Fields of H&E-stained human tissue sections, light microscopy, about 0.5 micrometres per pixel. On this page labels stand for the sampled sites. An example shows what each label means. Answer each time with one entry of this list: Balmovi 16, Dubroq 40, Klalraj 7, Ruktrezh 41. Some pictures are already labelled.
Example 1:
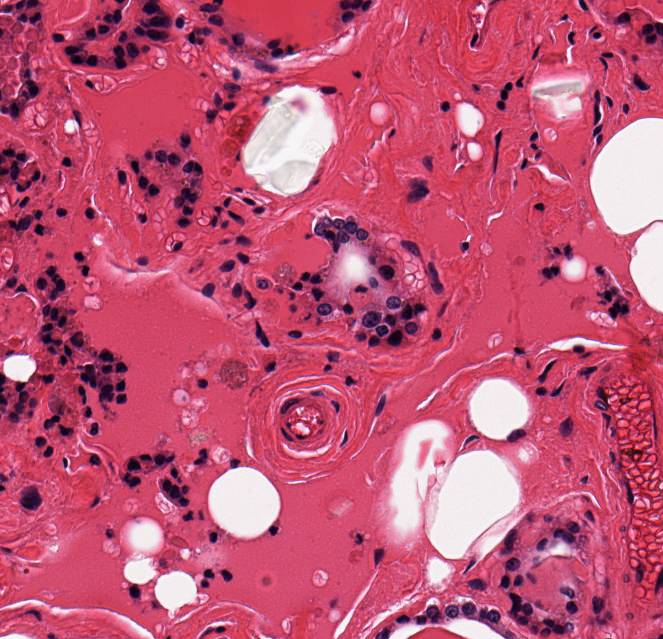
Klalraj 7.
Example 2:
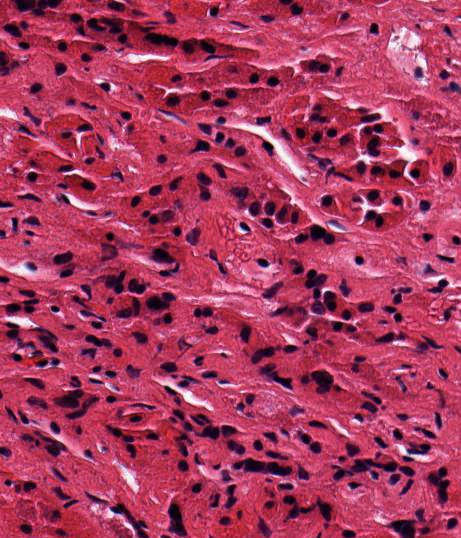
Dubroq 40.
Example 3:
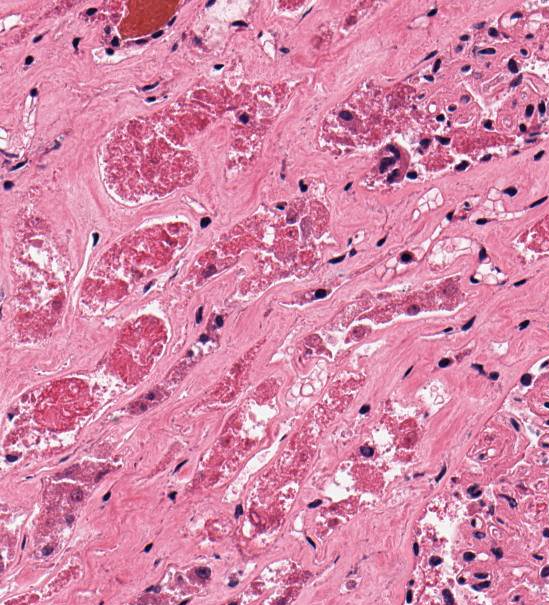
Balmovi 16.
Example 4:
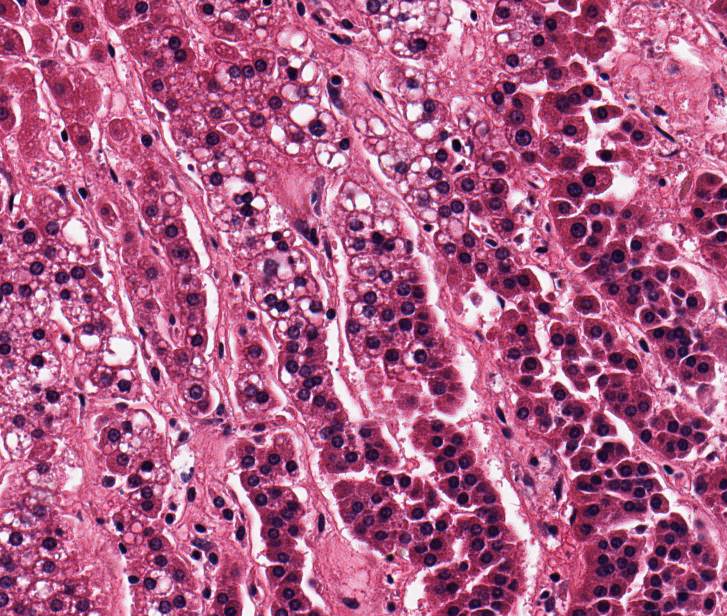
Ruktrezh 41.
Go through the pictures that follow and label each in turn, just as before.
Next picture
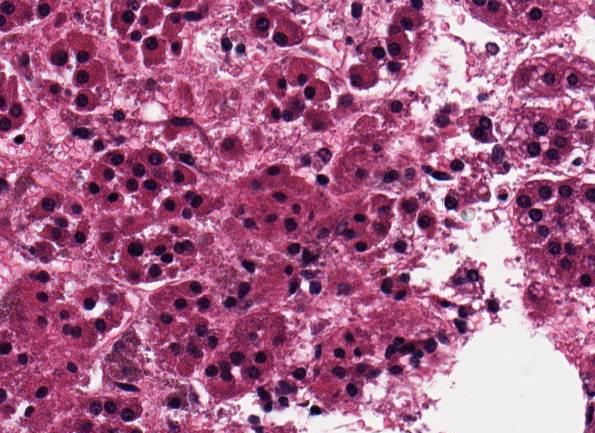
Ruktrezh 41.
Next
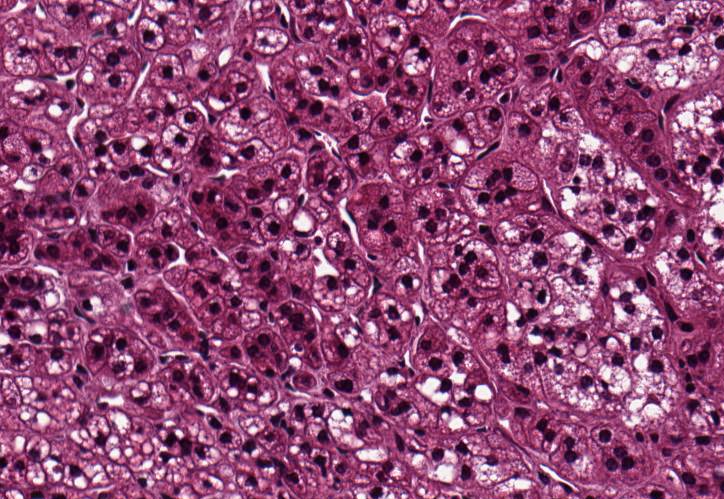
Ruktrezh 41.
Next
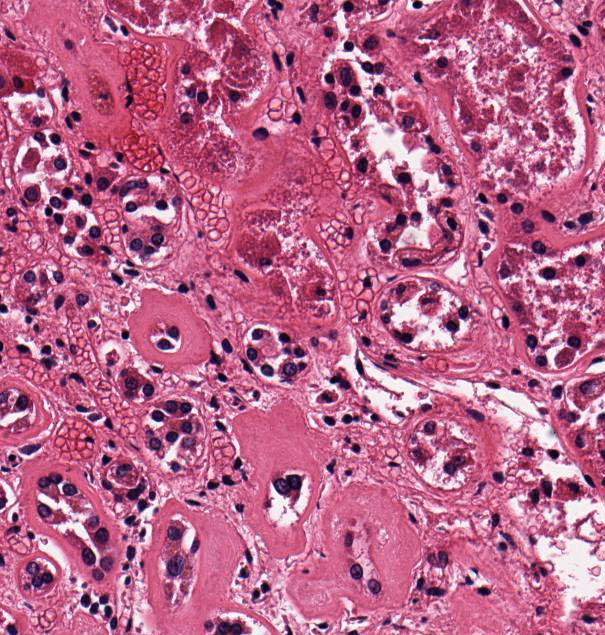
Balmovi 16.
